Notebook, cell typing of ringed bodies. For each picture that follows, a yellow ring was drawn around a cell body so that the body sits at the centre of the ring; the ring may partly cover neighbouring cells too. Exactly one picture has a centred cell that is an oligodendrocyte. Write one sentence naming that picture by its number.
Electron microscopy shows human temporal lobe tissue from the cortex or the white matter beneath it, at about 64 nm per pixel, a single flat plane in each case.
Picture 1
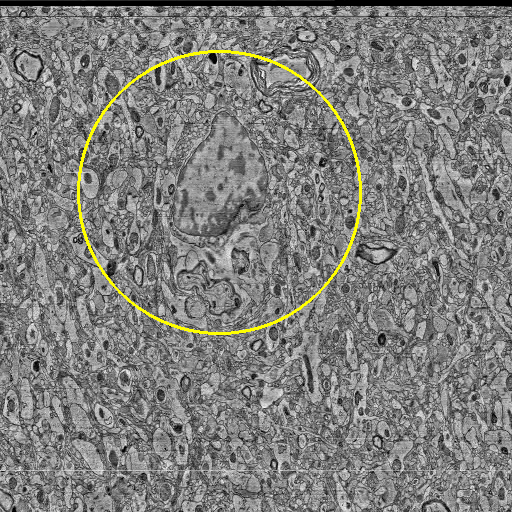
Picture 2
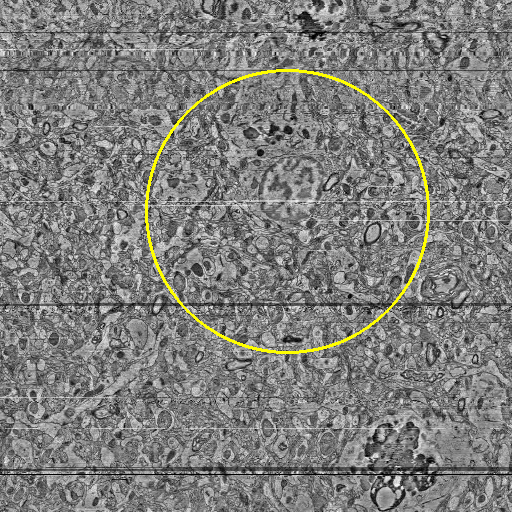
Picture 2 is the one with it at the centre of its ring.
